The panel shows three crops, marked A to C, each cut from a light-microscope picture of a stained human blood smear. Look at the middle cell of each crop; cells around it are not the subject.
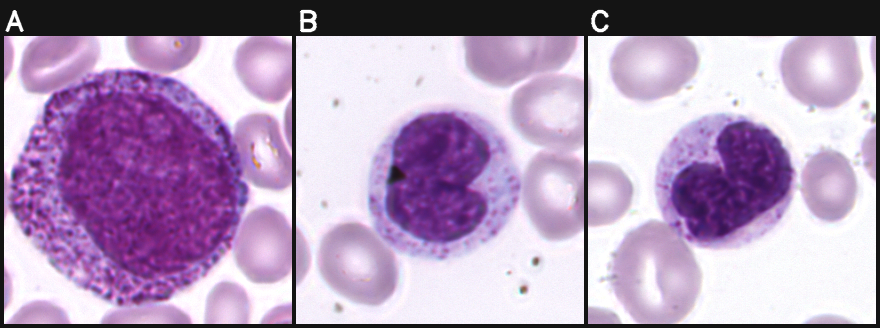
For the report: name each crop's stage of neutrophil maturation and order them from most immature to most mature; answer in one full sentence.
Ranked by maturation stage, earliest first, the crops read crop A (a promyelocyte), crop B (a metamyelocyte) and crop C (a band neutrophil).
